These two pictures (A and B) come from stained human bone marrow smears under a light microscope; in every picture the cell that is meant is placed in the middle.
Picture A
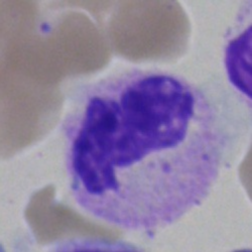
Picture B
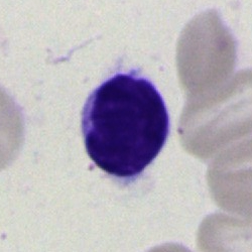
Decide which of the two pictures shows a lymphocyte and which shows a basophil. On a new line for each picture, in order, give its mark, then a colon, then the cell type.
A: basophil
B: lymphocyte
